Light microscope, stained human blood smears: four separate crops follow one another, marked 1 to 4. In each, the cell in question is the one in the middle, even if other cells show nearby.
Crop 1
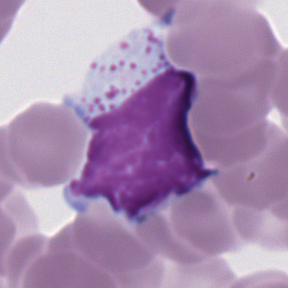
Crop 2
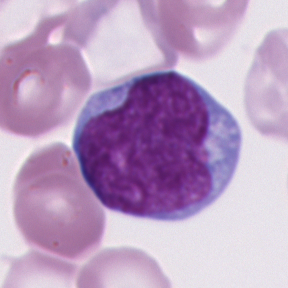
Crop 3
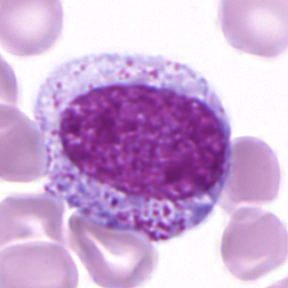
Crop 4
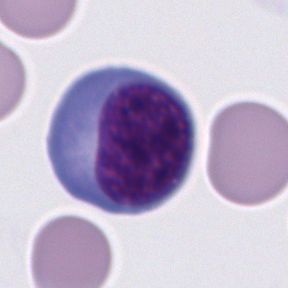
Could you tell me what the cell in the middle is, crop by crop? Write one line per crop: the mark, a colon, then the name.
1: large granular lymphocyte
2: myeloblast
3: promyelocyte
4: erythroblast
